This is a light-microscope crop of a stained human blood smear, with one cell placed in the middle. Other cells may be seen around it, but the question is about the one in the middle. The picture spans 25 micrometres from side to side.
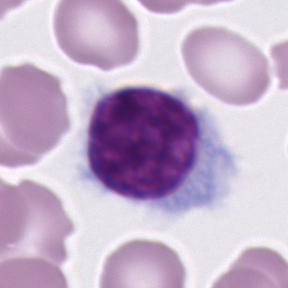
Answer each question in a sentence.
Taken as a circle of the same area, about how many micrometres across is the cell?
About 12 micrometres: that is the cell's diameter.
